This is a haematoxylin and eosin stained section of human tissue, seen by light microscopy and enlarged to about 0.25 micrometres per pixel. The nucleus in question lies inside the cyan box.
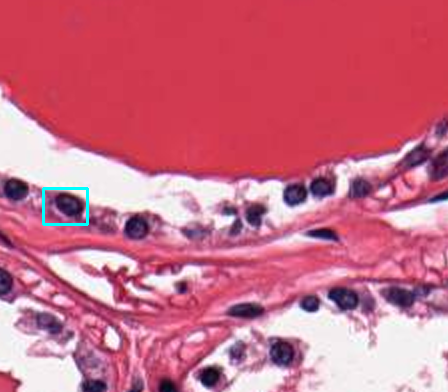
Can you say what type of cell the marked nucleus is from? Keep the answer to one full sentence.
Singled out by the mark is the nucleus of a thyroid follicular cell.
